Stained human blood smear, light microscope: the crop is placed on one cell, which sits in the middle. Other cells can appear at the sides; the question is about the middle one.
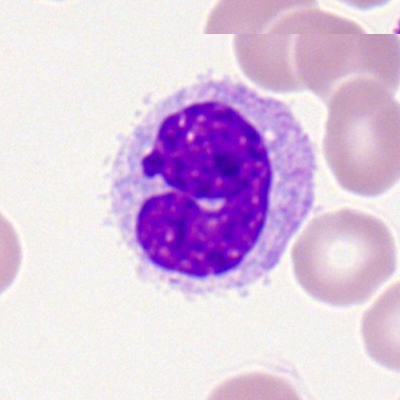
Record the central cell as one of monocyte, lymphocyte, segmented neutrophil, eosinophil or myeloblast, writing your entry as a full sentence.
The cell of interest, located centrally, is a monocyte.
